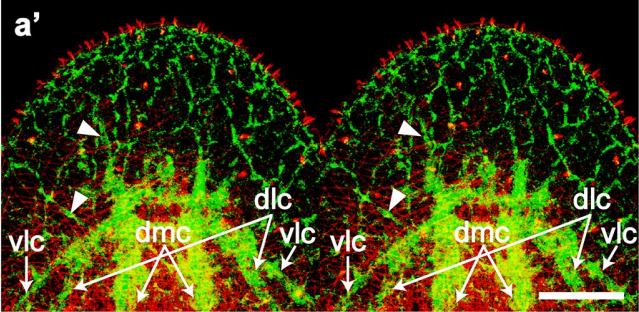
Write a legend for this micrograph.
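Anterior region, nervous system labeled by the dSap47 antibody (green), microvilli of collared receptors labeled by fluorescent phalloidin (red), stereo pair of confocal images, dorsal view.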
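Small red tufts stand along the rounded body margin and are scattered over the surface, while a fine red grid of fibres lies beneath the green nerve net. The bright green central mass with its thick cords and the thin polygonal peripheral net lie among the red structures.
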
